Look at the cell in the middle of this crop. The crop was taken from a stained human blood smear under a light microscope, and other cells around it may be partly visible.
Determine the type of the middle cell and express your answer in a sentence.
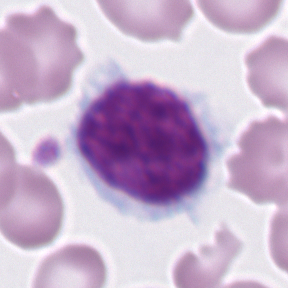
The cell under consideration, at the middle of the crop, is a hairy cell.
